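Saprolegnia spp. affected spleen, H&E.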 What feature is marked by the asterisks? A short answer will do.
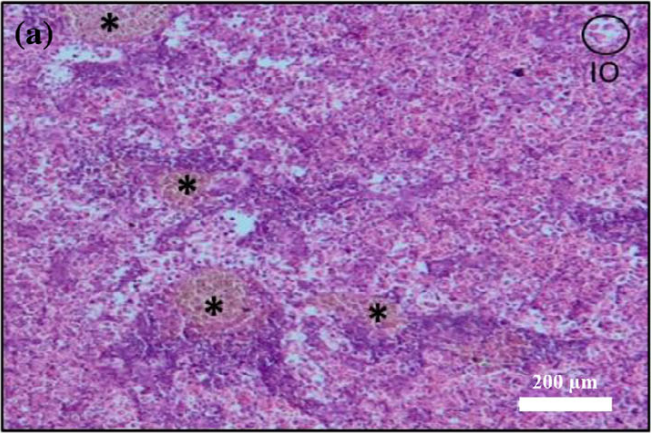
melanomacrophage centre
